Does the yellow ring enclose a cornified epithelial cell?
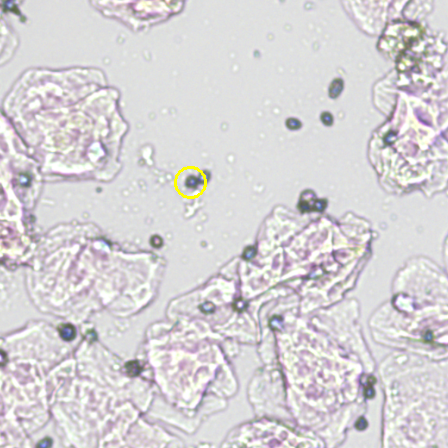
No. The ring encloses a leukocyte.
